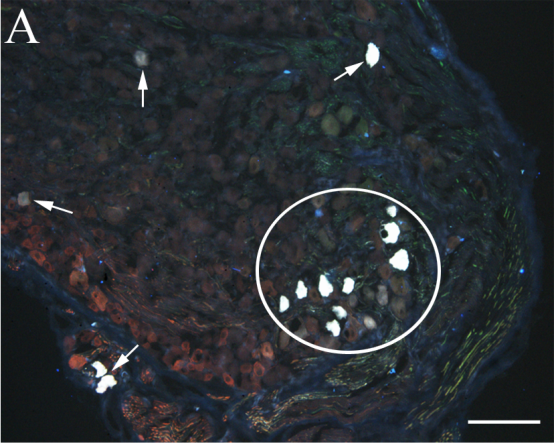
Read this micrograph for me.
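A section of sensory ganglion shows many round neuronal cell bodies packed among bundles of nerve fibers, with a thin capsule at the edge. A minority of the somata glow bright white, while most of the others appear dim orange-brown. The bright cells occur singly in scattered places and also gather in a group near the lower middle of the ganglion. Fiber bundles with a greenish sheen run between the groups of cell bodies.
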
